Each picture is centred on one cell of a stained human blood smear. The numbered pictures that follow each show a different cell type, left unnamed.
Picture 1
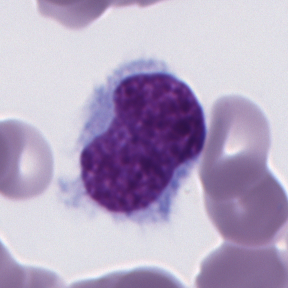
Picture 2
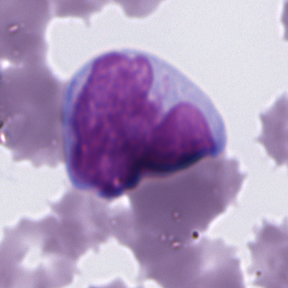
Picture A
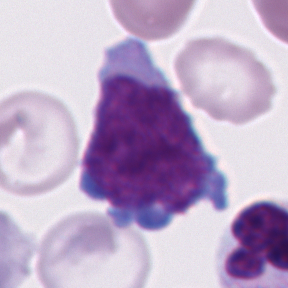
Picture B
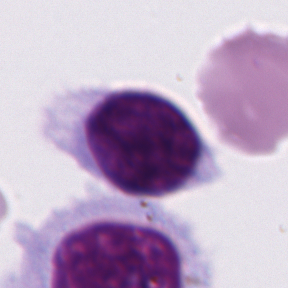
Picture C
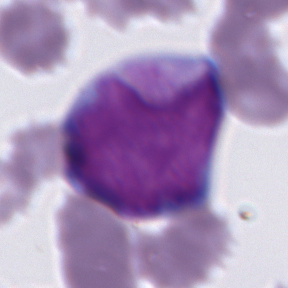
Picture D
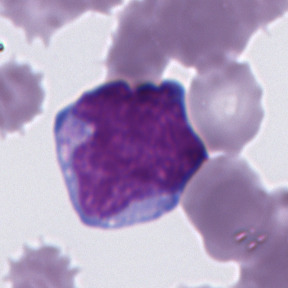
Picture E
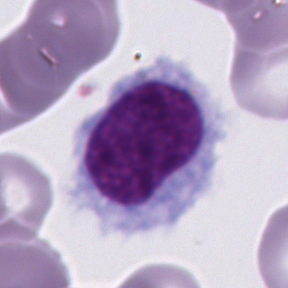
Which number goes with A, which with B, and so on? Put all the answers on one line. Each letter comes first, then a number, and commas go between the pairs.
A 2, B 1, C 2, D 2, E 1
